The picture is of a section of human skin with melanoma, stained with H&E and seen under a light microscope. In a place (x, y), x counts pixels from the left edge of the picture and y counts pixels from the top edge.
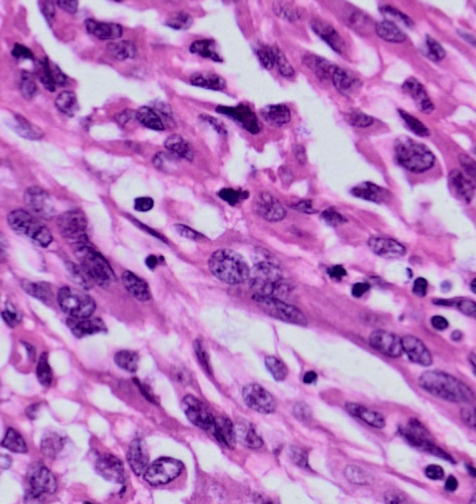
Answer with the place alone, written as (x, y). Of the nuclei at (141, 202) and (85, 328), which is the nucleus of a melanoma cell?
(85, 328)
